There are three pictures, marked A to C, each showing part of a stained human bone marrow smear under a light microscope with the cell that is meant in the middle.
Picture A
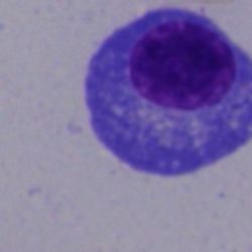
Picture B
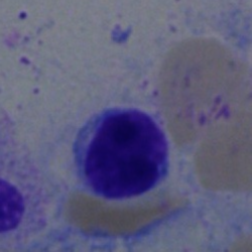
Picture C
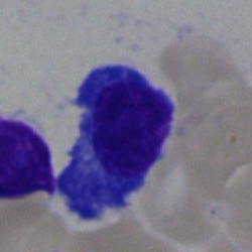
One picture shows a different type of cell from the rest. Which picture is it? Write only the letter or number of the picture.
B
